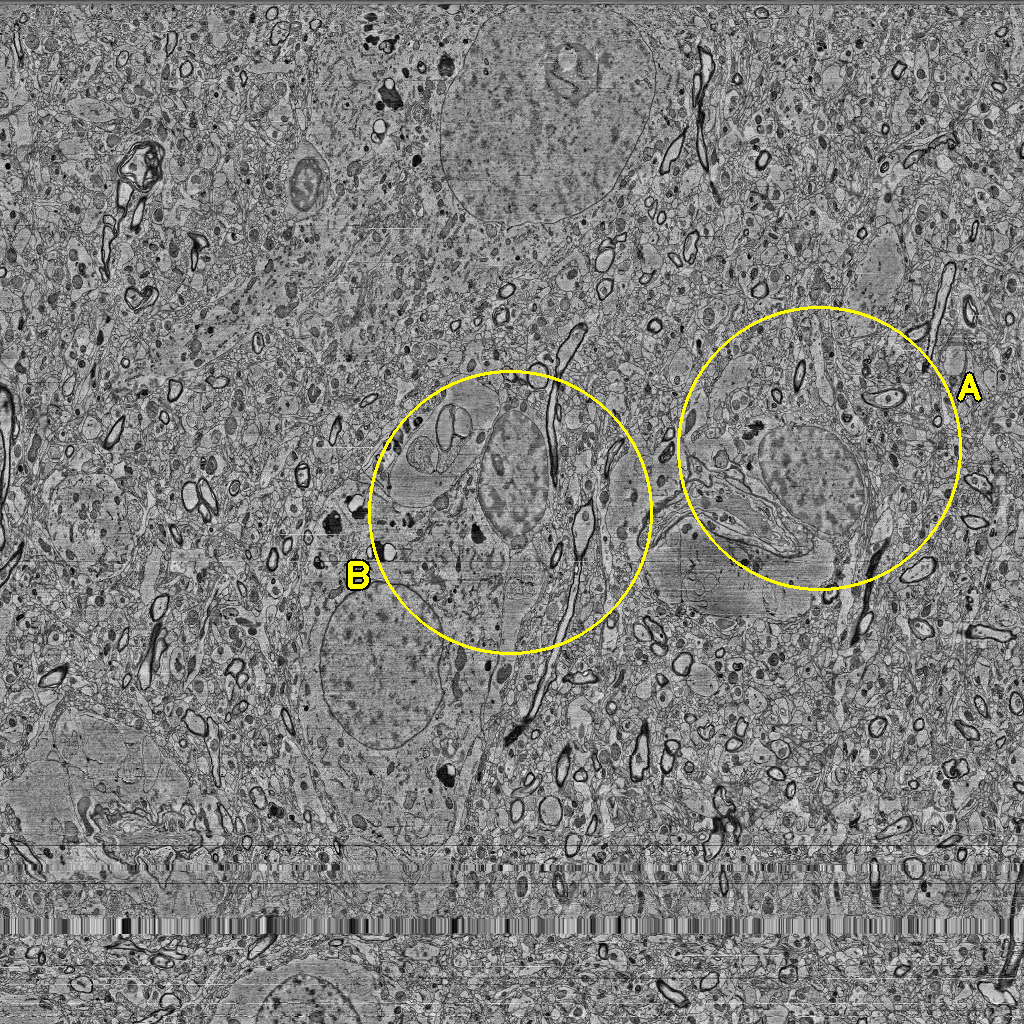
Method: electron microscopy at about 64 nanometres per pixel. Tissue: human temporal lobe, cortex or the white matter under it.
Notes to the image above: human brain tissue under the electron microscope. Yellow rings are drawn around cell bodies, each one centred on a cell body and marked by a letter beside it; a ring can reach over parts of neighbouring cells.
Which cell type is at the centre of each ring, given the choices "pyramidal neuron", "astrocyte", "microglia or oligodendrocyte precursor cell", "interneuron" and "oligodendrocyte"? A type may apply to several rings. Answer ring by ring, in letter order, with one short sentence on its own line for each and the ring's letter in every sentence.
Inside ring A, at its centre, is an oligodendrocyte.
Inside ring B, at its centre, is an oligodendrocyte.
